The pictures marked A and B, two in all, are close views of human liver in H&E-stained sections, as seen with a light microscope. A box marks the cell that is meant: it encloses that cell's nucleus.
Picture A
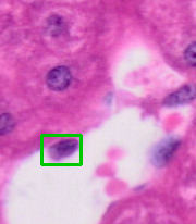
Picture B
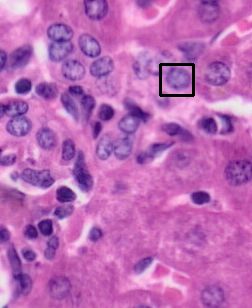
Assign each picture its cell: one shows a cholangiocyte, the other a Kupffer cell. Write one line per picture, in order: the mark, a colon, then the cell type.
A: Kupffer cell
B: cholangiocyte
